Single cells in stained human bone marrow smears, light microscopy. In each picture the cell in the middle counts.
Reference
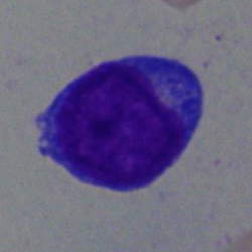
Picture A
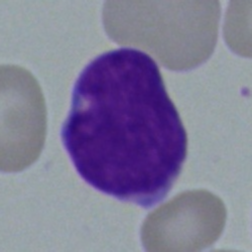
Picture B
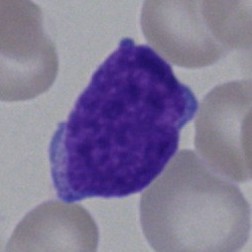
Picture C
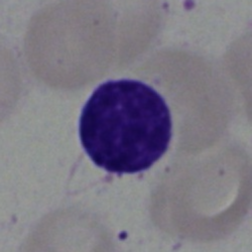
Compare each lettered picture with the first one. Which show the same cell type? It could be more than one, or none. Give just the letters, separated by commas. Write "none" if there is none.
A, B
